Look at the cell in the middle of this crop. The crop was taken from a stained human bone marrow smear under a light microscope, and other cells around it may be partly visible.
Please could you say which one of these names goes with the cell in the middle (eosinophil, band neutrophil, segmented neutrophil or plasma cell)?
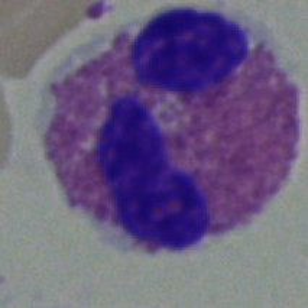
eosinophil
